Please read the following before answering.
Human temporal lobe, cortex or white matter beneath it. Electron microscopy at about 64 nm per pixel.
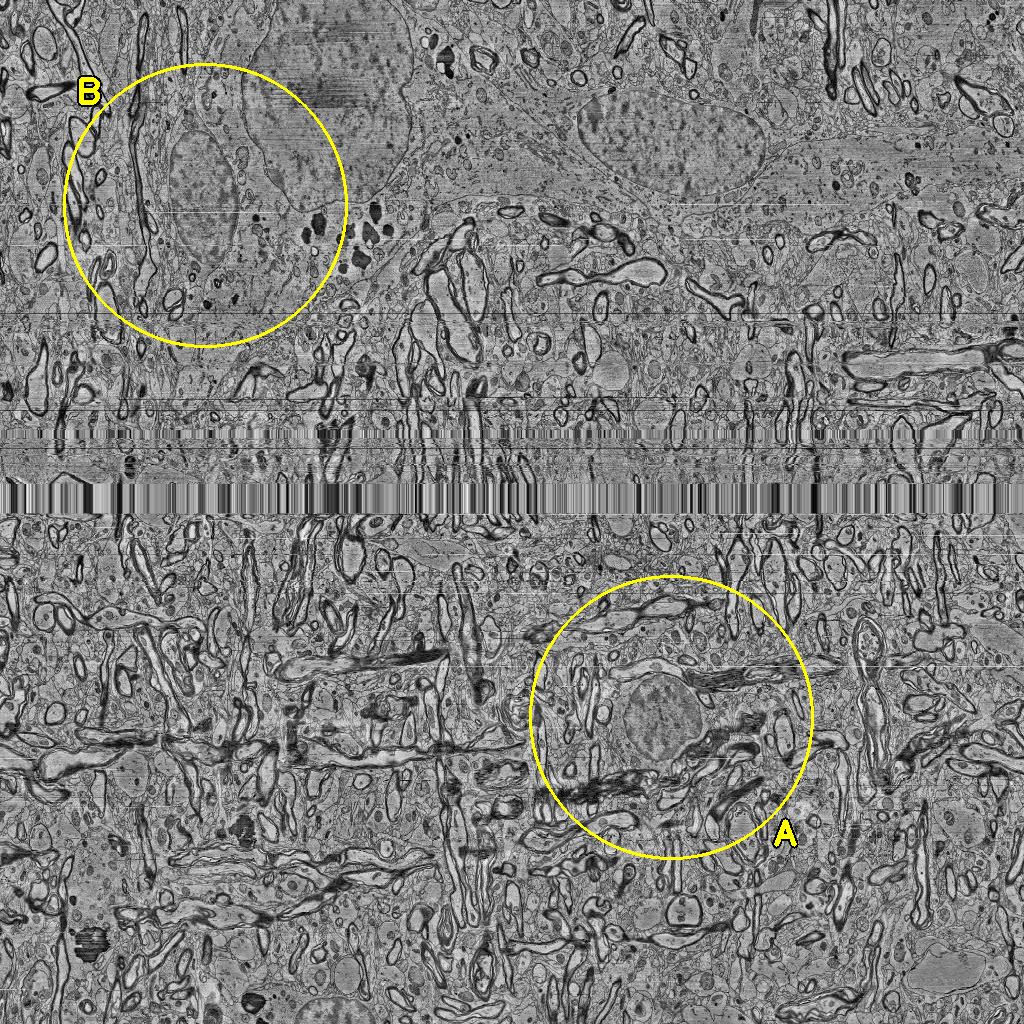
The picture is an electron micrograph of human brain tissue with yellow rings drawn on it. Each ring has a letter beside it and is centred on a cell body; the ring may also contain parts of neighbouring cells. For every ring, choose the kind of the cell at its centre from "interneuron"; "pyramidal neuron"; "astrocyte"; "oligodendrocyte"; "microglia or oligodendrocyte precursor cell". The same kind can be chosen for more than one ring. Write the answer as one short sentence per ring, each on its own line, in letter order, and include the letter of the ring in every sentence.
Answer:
The kind of cell at the centre of ring A is an oligodendrocyte.
The kind of cell at the centre of ring B is an oligodendrocyte.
